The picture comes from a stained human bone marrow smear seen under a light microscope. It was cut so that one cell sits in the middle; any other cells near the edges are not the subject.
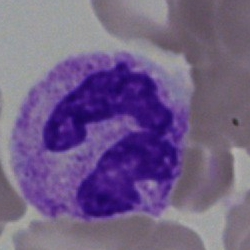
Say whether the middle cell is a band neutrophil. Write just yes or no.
no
